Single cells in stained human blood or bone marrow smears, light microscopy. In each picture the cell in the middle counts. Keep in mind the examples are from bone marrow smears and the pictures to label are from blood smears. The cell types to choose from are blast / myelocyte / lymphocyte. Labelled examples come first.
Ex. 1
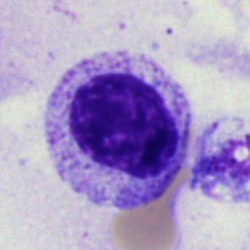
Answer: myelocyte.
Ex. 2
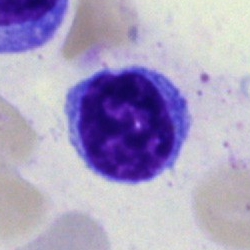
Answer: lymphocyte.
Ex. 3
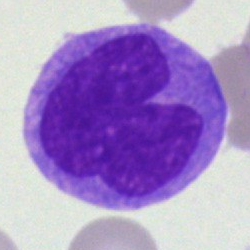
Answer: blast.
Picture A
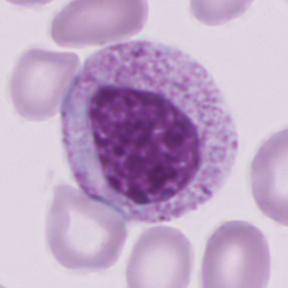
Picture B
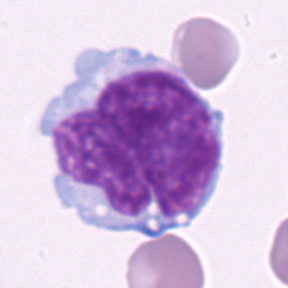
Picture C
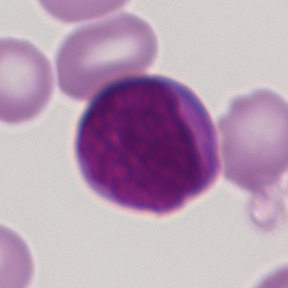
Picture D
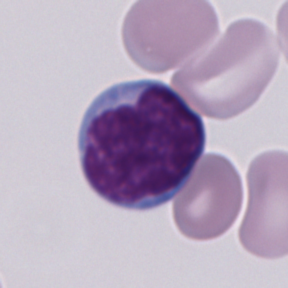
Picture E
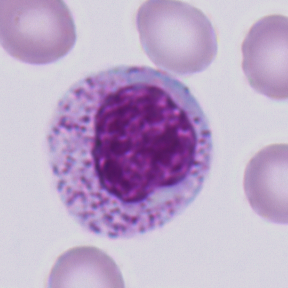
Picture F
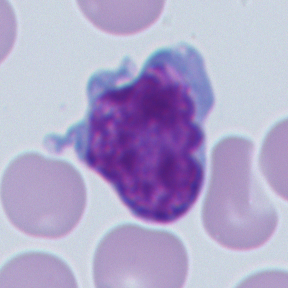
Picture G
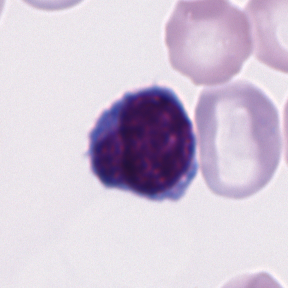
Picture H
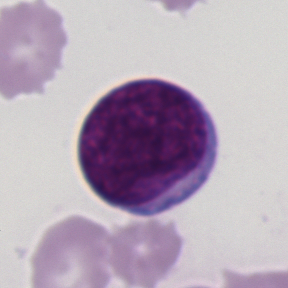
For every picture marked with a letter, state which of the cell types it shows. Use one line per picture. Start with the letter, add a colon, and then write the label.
A: myelocyte.
B: blast.
C: blast.
D: lymphocyte.
E: myelocyte.
F: lymphocyte.
G: lymphocyte.
H: blast.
